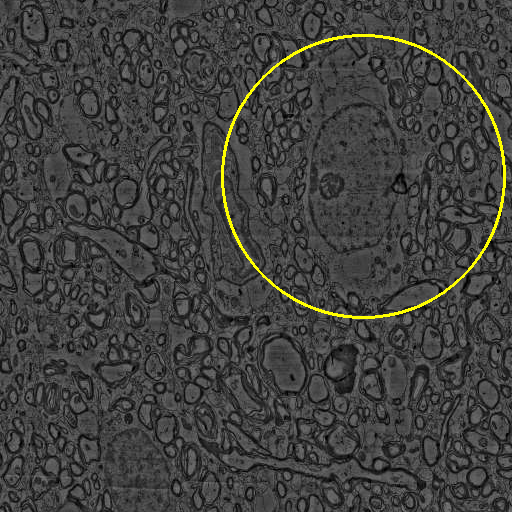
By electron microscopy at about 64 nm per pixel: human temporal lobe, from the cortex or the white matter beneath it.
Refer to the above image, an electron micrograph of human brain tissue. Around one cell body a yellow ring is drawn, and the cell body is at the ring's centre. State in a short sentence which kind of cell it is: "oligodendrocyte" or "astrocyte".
The centre of the ring falls on an astrocyte.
